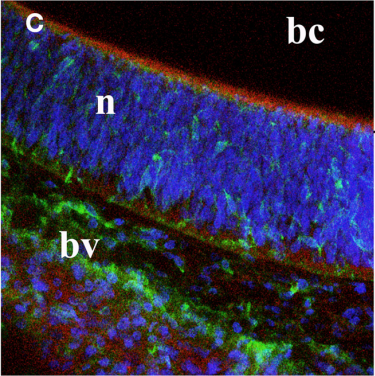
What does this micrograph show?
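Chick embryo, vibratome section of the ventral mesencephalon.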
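This section shows the embryonic neuroectoderm lining the brain cavity, with the mesenchyme and blood vessels lying beneath it. The neuroectoderm is a thick, densely packed epithelium whose elongated nuclei, stained blue, are stacked many deep and oriented across the thickness of the layer. A thin red line marks the surface of the epithelium facing the dark brain cavity, and another red line runs along its outer border. Fine green streaks run radially through the epithelium, across its thickness. Below the epithelium lies a looser tissue with scattered rounded blue nuclei and abundant irregular green label outlining blood vessels and the spaces between cells.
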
